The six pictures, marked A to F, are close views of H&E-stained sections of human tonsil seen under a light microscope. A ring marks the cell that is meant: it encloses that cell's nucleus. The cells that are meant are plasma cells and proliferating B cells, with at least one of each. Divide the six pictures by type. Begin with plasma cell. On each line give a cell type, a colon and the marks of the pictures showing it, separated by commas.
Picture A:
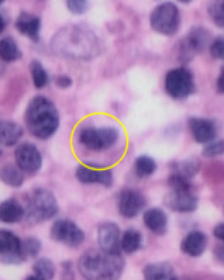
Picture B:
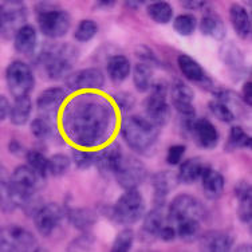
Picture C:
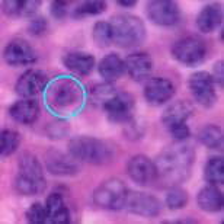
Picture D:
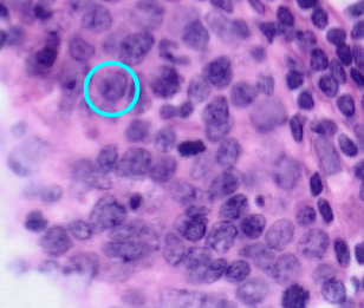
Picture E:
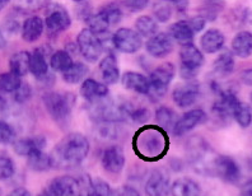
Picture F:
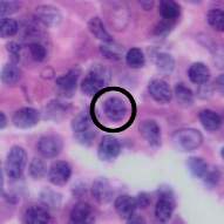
plasma cell: C, F
proliferating B cell: A, B, D, E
